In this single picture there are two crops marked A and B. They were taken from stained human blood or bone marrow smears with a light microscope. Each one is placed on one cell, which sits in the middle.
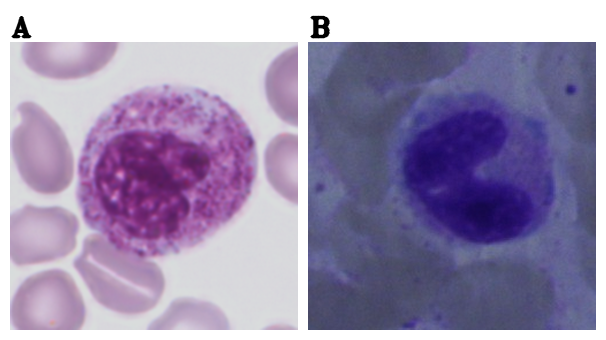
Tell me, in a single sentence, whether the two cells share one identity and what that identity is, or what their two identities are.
Yes, in the middle of both crops, band neutrophils are shown.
